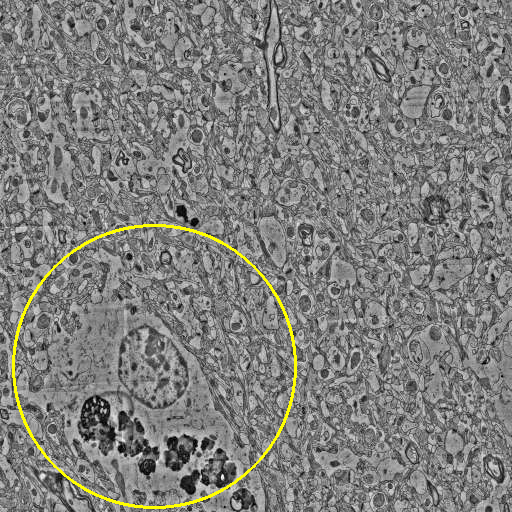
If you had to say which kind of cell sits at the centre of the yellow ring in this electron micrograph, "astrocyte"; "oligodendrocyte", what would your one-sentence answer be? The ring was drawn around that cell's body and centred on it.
The cell sitting at the centre of the ring is an astrocyte.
